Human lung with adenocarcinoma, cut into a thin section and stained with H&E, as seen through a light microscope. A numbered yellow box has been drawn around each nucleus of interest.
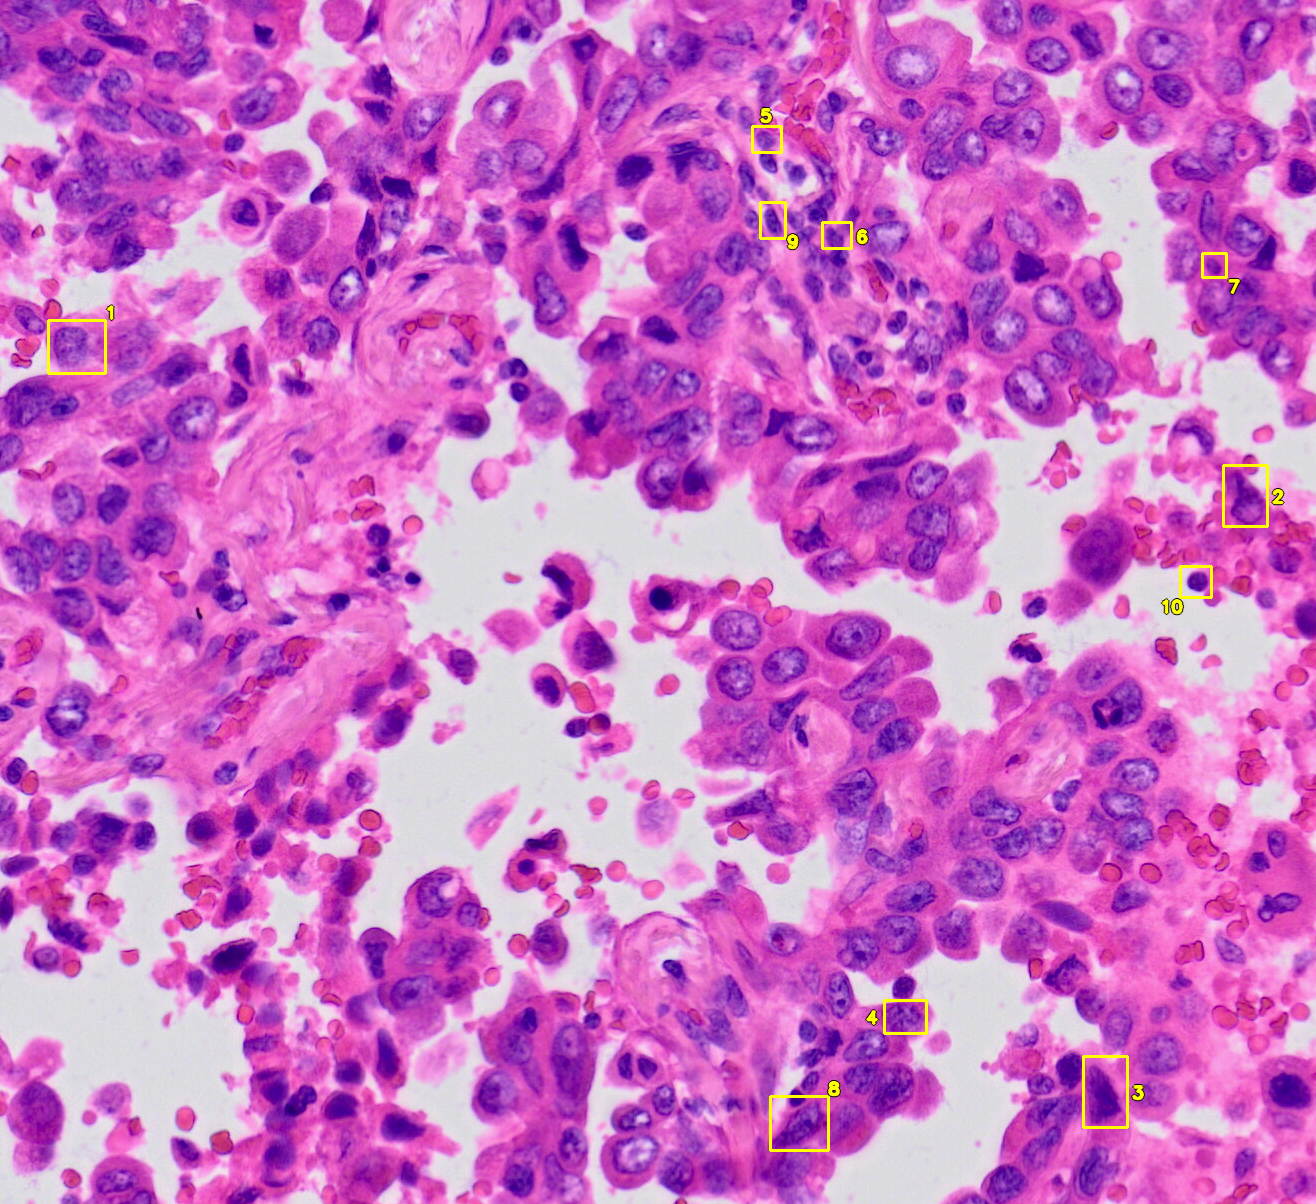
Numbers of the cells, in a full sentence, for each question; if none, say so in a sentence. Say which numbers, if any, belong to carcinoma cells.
The cells shown with numbers 1, 2, 3, 4, 7 and 8 are carcinoma cells.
